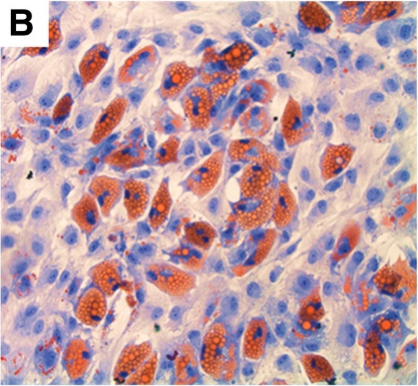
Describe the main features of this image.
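Many large, rounded to polygonal cells have cytoplasm packed with numerous round orange-red droplets of varying size, with a blue nucleus often set to one side. Between them lie flatter cells with pale cytoplasm and oval blue nuclei that hold no droplets. A few scattered red droplets also lie outside the cells.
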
